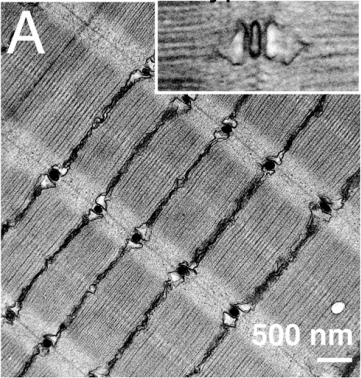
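This is skeletal muscle in longitudinal section, with myofibrils running diagonally across the field and showing regular sarcomere banding. Thin dark lines cross the fibre at regular intervals, and along them sit small compact dense profiles spaced evenly, each flanked by pale spaces. The inset enlarges one junction, where a dark central profile lies between two paler sacs in a symmetric arrangement. The overall pattern is highly ordered, with the junctional profiles lined up in parallel rows.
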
